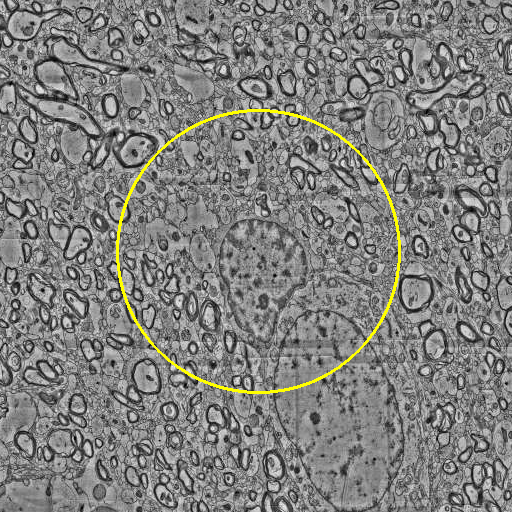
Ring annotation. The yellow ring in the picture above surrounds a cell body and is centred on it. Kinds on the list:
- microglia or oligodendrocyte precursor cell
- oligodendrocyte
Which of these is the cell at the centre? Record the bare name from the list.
oligodendrocyte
